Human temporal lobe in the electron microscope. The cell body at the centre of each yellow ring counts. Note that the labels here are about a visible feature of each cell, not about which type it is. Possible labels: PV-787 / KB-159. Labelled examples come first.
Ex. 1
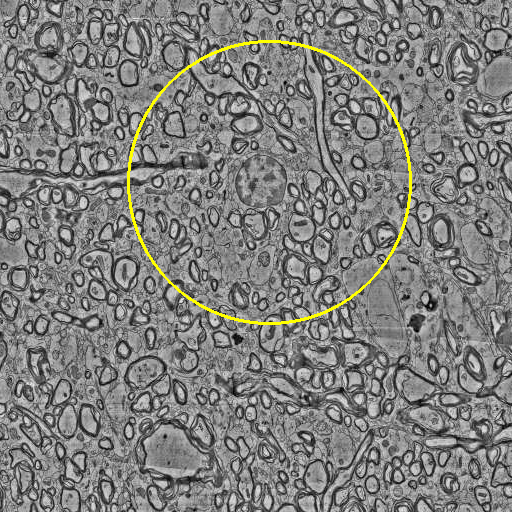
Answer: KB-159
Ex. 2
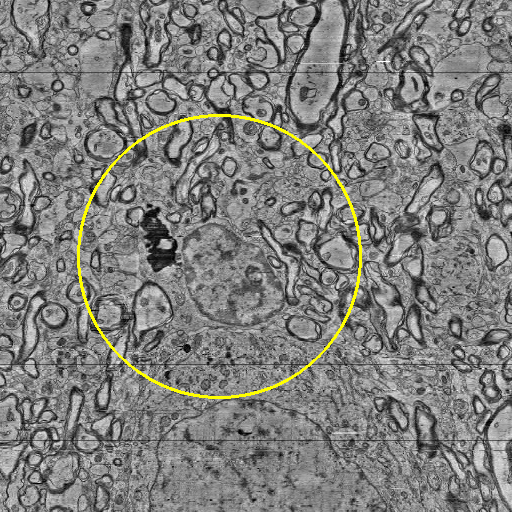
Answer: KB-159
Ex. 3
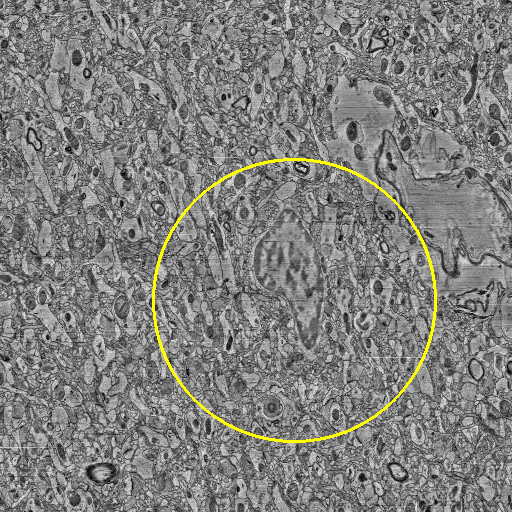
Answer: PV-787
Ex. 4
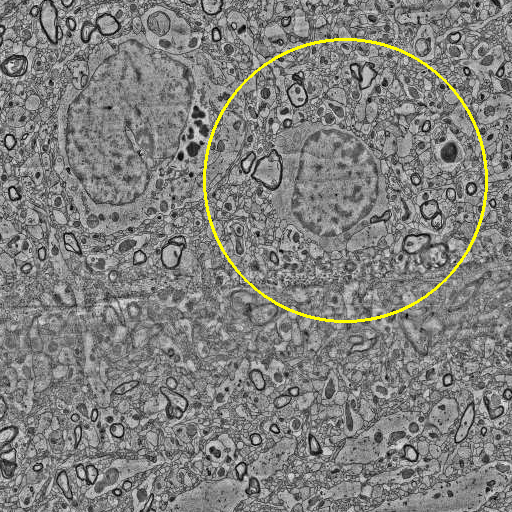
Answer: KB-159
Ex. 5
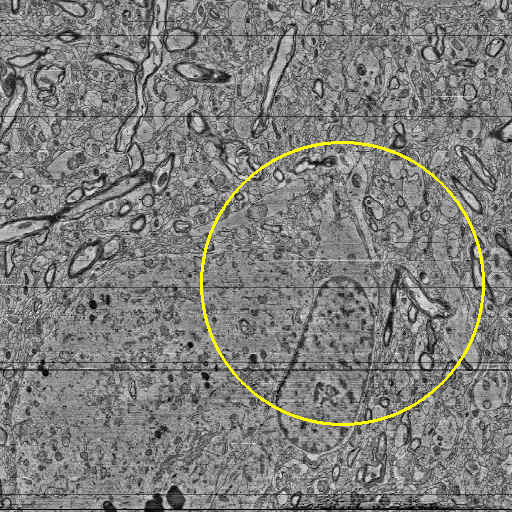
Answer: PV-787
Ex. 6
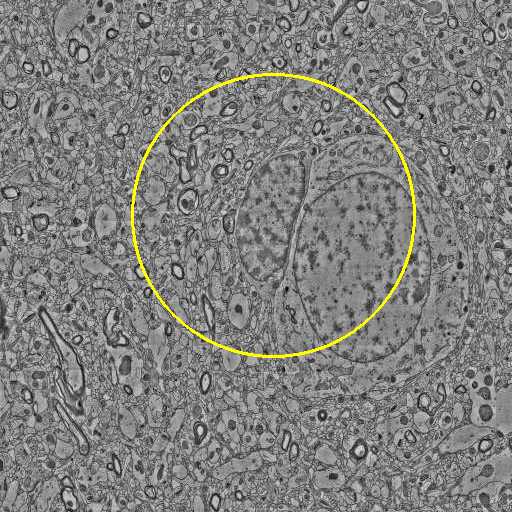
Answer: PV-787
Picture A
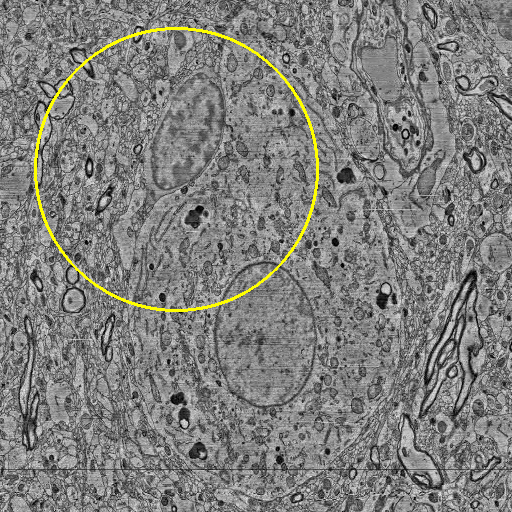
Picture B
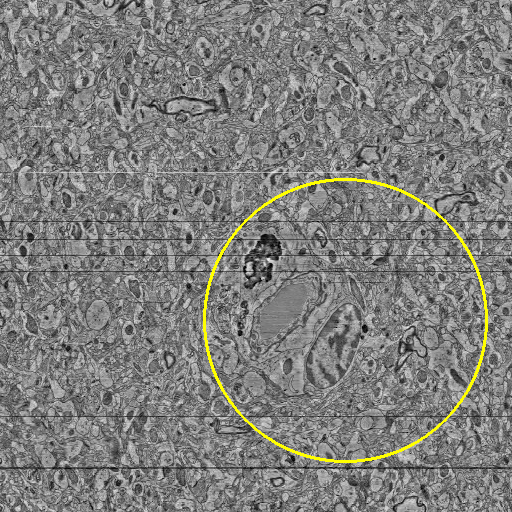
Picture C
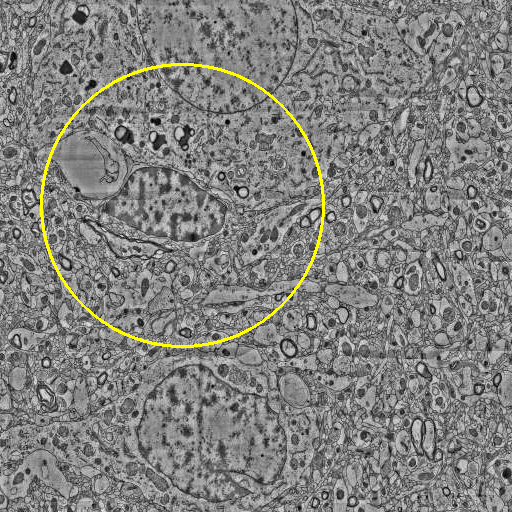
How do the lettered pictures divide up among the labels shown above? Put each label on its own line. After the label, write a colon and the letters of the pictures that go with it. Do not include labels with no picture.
PV-787: A, B, C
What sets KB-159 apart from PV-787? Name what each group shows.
KB-159: round or nearly round nuclei; PV-787: clearly elongated nuclei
